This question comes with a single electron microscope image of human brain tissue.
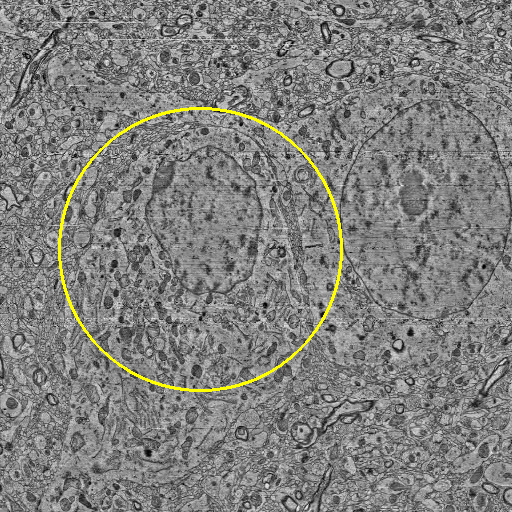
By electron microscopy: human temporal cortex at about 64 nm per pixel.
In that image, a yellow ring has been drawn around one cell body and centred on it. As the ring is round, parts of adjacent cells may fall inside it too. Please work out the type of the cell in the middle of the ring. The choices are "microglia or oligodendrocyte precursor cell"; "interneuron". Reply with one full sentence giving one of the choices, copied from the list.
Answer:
Of the choices, an interneuron is the cell sitting in the middle of the ring.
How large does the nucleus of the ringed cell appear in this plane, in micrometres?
In this plane the nucleus spans approximately 10 by 7 micrometers.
